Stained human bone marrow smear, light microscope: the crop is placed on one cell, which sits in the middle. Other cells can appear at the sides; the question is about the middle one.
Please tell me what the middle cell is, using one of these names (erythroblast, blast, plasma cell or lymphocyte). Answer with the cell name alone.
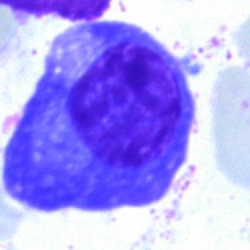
plasma cell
